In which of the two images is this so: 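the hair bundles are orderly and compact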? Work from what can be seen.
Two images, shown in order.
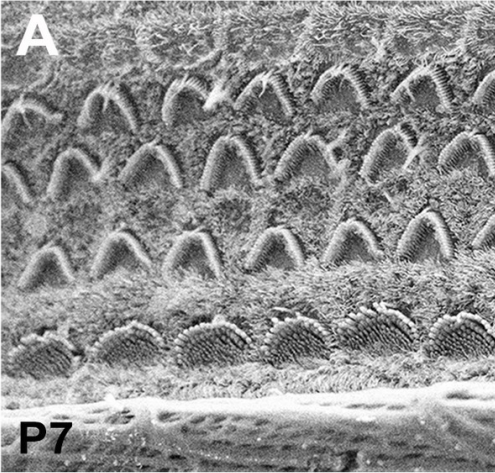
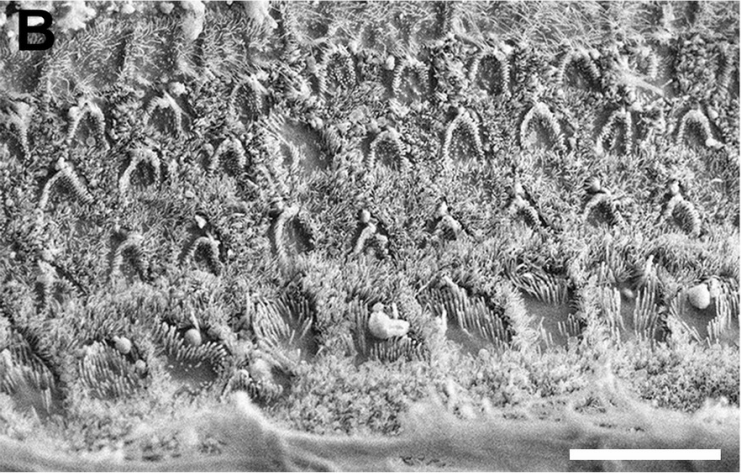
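Second image: bundles are irregular, with splayed thin projections, especially in the lower row. First image: V-shaped and crescent-shaped bundles are neat, compact and evenly spaced. On this evidence: the first image.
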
